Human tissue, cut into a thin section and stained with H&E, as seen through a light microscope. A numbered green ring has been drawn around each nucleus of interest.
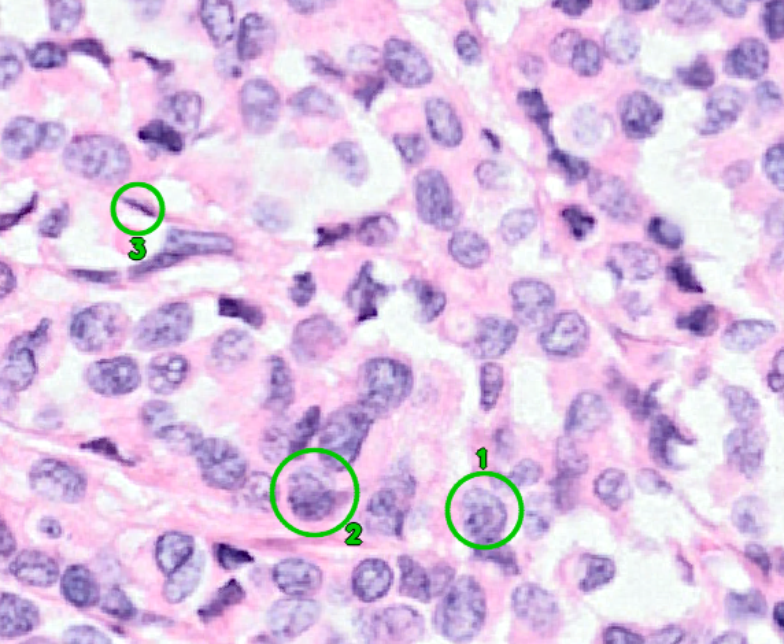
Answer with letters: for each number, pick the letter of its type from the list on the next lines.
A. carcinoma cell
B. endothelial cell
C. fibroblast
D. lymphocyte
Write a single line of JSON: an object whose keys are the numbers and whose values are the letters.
{"1": "A", "2": "A", "3": "B"}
